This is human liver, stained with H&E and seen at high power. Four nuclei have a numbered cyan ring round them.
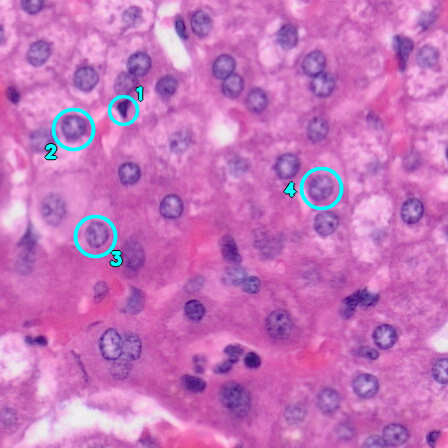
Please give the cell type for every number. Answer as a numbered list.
1. fibroblast or stellate cell
2. hepatocyte
3. hepatocyte
4. hepatocyte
